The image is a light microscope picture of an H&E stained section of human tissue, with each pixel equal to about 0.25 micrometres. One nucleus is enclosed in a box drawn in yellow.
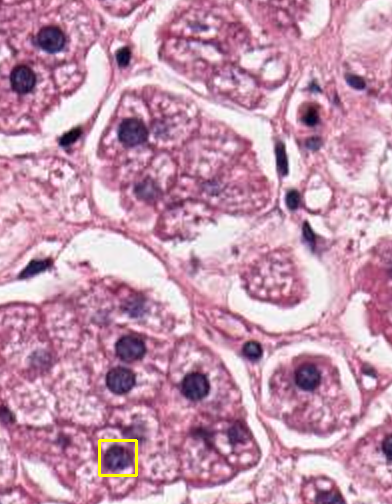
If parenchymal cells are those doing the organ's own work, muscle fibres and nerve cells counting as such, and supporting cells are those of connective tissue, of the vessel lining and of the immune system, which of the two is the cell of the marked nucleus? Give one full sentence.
The marked nucleus belongs to a parenchymal cell, namely an adrenal cortical cell.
